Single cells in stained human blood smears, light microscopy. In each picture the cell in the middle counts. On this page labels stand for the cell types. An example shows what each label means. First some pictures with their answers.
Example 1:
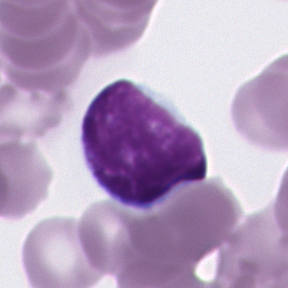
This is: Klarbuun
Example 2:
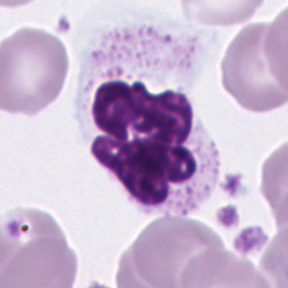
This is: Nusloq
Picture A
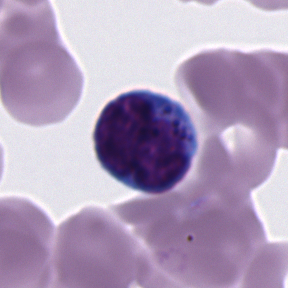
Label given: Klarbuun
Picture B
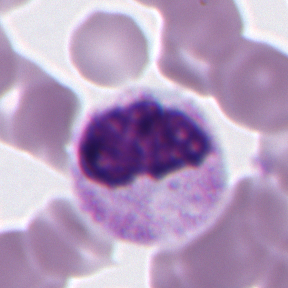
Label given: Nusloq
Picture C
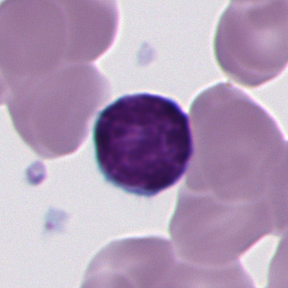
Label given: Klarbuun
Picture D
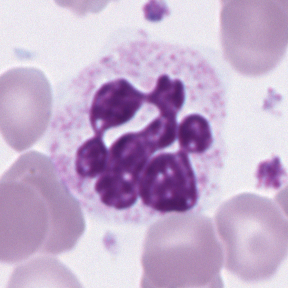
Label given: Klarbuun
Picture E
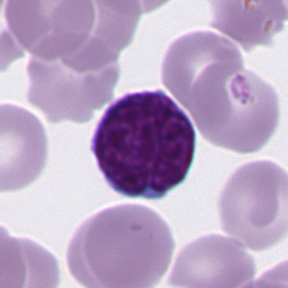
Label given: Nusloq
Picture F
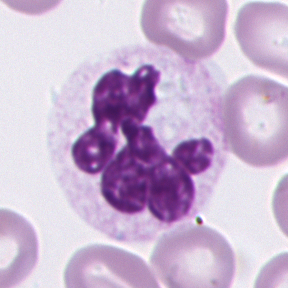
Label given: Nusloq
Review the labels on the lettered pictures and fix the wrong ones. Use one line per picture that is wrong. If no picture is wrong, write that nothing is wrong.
D should be Nusloq, not Klarbuun
E should be Klarbuun, not Nusloq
